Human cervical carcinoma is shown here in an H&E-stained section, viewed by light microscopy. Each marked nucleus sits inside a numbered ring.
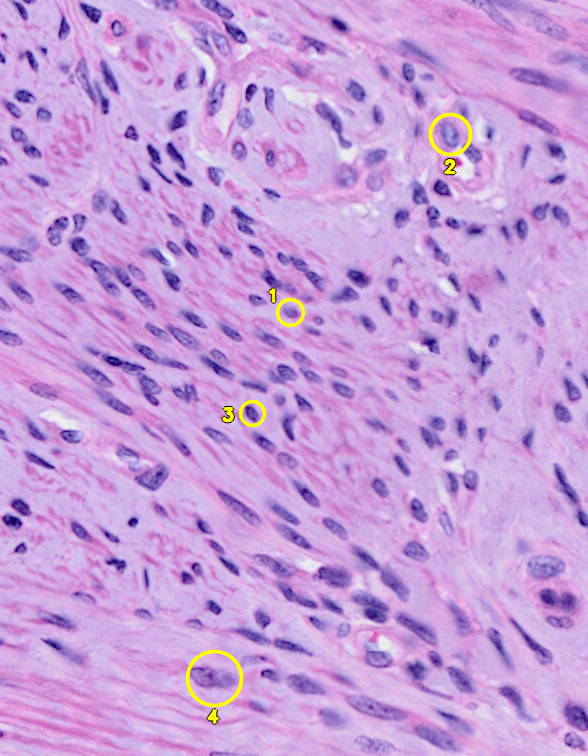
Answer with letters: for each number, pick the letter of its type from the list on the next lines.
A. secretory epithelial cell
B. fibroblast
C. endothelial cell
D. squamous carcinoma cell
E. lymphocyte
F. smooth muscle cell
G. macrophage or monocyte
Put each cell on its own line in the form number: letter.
1: F
2: C
3: F
4: F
